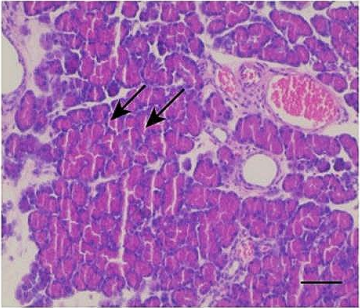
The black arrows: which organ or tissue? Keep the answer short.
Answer: Pancreatic tissue.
